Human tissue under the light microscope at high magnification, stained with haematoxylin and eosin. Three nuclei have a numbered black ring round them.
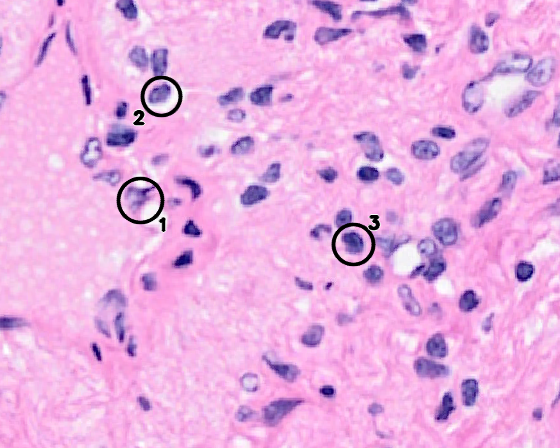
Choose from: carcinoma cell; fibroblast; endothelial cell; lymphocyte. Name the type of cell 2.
lymphocyte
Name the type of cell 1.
endothelial cell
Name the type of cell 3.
lymphocyte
